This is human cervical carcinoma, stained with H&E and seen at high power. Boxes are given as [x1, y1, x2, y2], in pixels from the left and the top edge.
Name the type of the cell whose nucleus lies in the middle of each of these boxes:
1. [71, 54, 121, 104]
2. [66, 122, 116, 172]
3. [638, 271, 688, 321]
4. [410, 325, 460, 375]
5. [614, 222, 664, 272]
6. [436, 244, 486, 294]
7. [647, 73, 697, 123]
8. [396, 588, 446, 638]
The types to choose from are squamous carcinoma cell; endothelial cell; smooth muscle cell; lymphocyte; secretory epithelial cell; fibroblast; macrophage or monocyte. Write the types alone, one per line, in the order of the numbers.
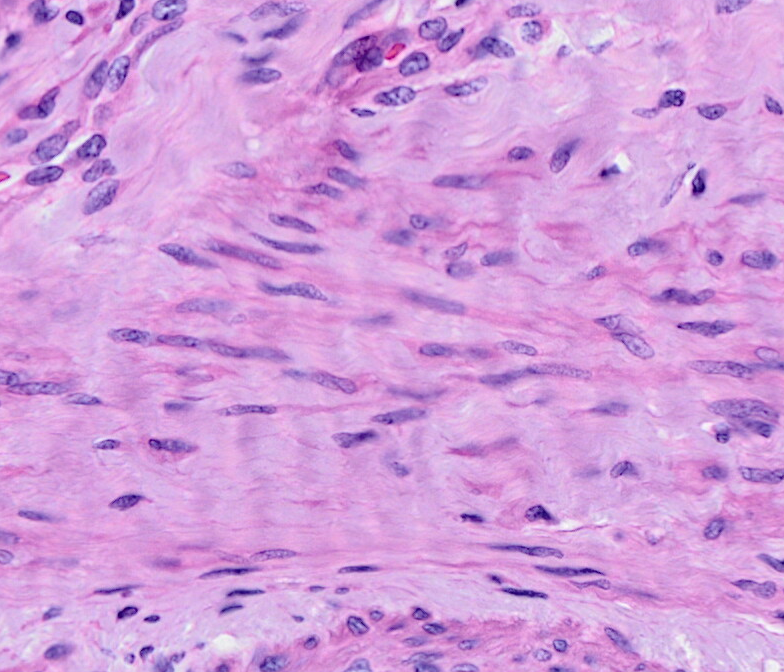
endothelial cell
endothelial cell
smooth muscle cell
smooth muscle cell
smooth muscle cell
smooth muscle cell
lymphocyte
smooth muscle cell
